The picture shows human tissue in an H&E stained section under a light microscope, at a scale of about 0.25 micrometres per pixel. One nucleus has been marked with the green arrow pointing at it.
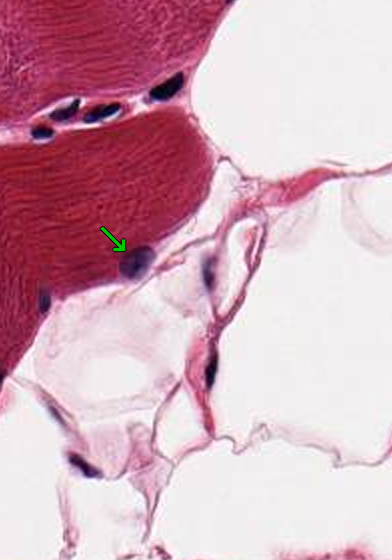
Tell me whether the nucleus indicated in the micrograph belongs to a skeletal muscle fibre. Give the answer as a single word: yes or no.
yes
